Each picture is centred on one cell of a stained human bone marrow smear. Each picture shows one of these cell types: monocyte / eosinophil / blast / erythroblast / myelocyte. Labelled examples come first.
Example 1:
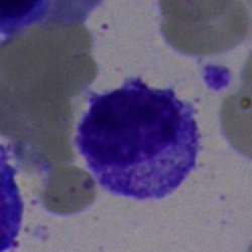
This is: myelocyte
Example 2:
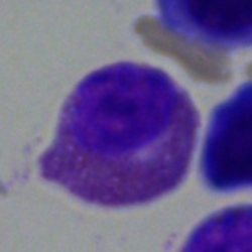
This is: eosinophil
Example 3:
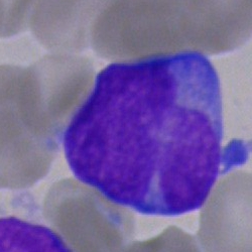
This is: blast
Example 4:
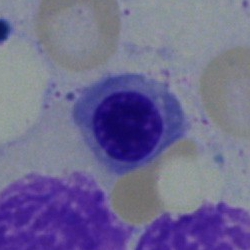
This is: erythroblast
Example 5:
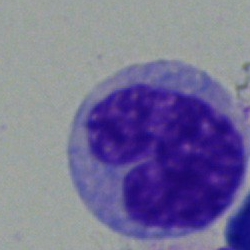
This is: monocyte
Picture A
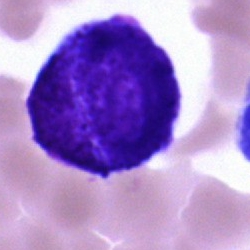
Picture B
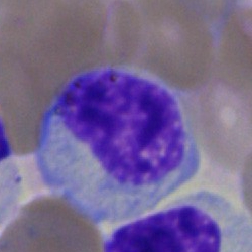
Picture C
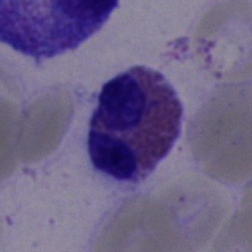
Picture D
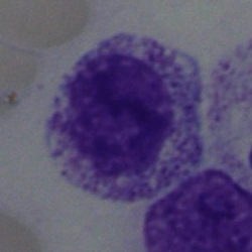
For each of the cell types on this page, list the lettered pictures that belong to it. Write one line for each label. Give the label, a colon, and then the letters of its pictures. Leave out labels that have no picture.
eosinophil: C
blast: A
myelocyte: B, D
